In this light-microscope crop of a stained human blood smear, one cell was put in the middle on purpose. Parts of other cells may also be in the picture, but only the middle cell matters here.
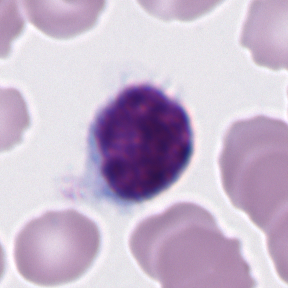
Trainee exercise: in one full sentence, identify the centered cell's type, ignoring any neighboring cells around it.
The cell featured at the centre of this crop is a hairy cell.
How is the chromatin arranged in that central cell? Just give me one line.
Thanks for asking; the chromatin is coarsely clumped.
